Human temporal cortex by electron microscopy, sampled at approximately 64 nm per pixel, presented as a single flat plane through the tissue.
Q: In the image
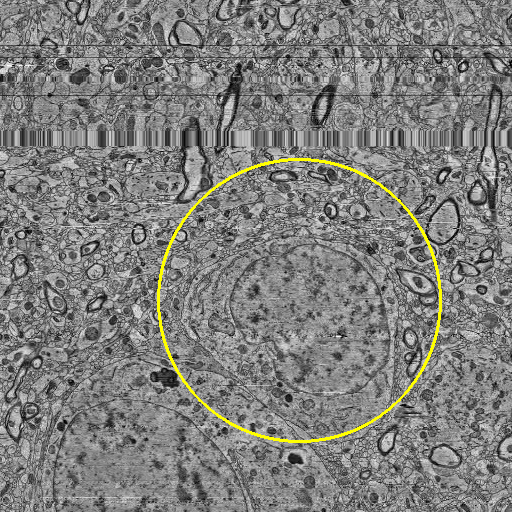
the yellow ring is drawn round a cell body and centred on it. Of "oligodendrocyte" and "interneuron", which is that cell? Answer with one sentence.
The cell centred in the ring is an interneuron.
